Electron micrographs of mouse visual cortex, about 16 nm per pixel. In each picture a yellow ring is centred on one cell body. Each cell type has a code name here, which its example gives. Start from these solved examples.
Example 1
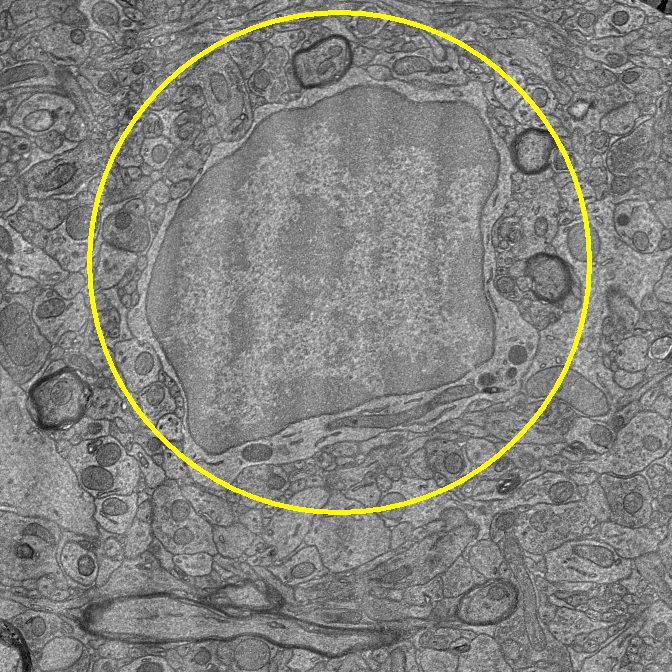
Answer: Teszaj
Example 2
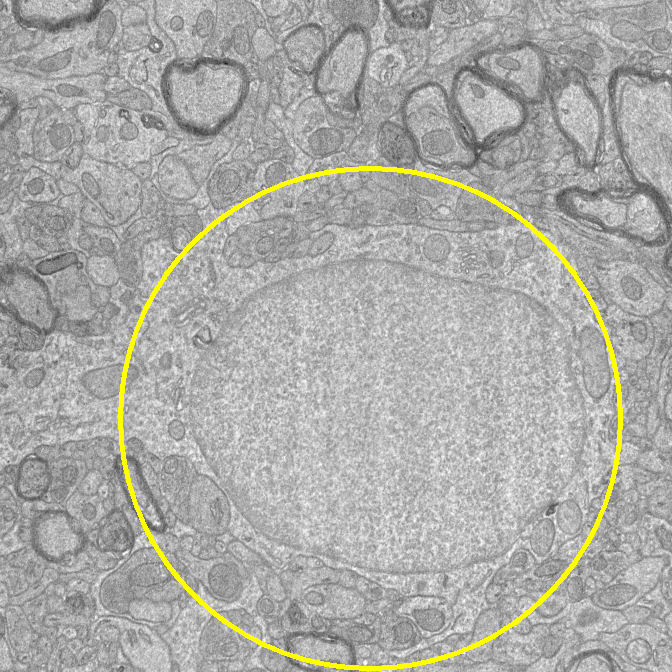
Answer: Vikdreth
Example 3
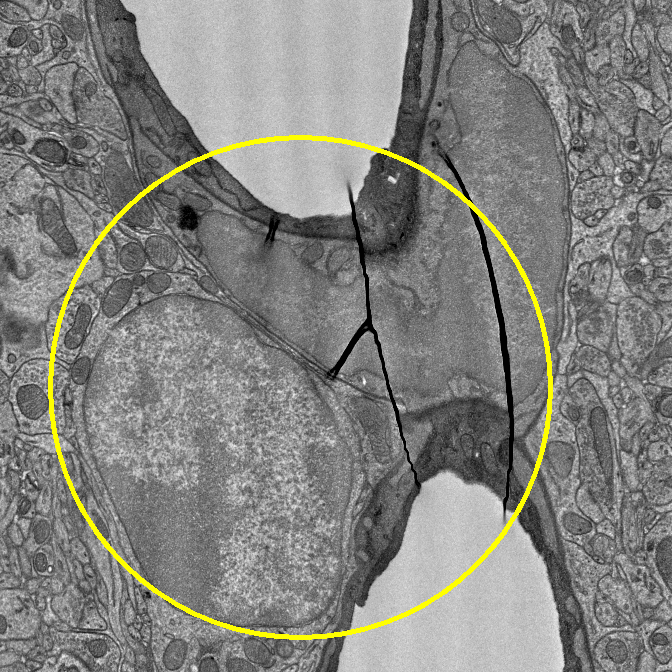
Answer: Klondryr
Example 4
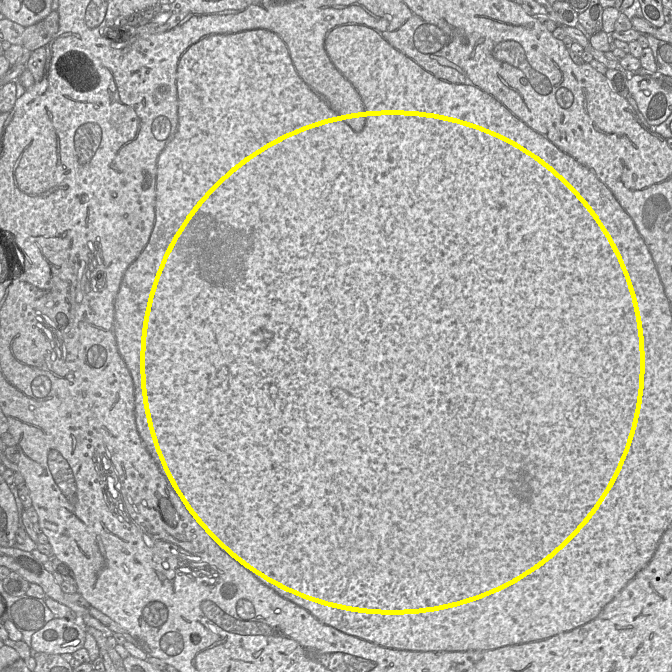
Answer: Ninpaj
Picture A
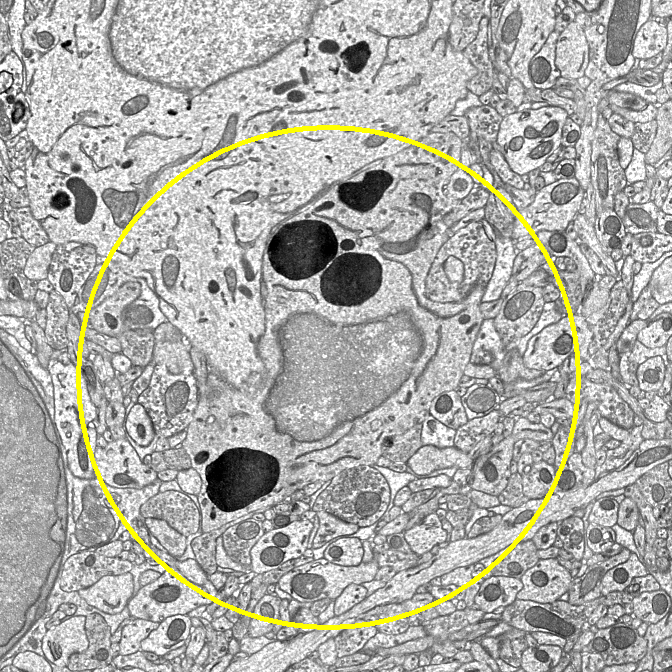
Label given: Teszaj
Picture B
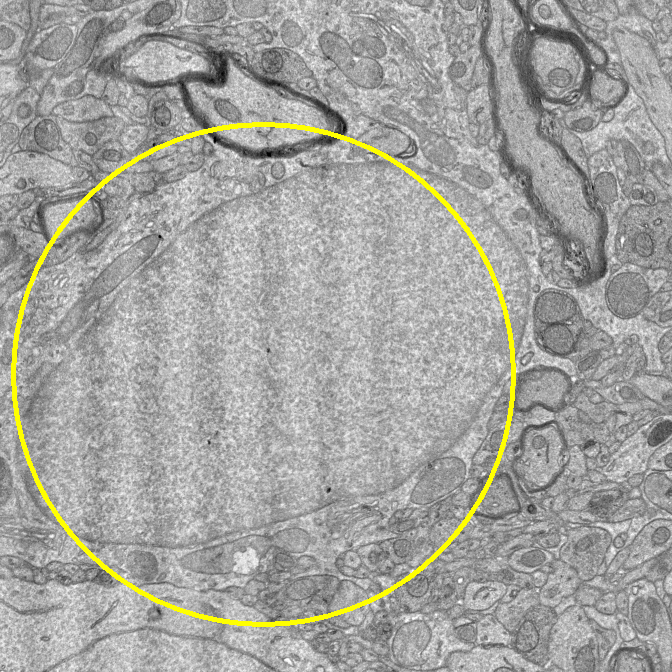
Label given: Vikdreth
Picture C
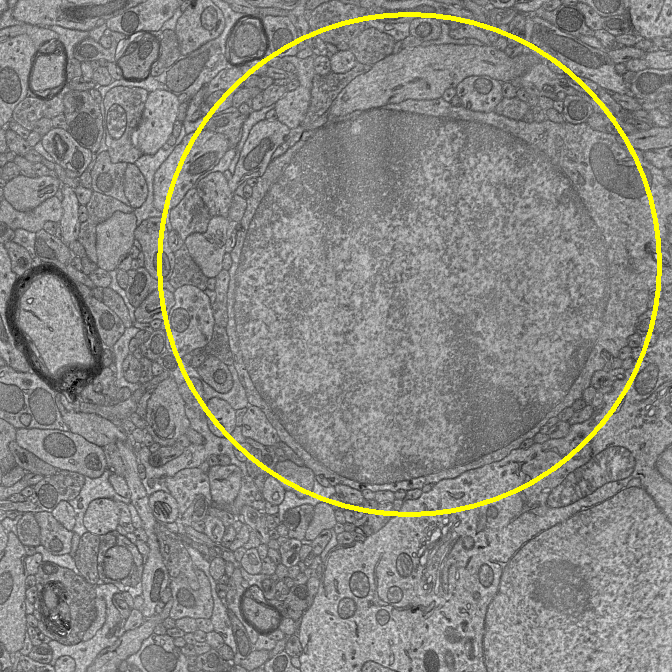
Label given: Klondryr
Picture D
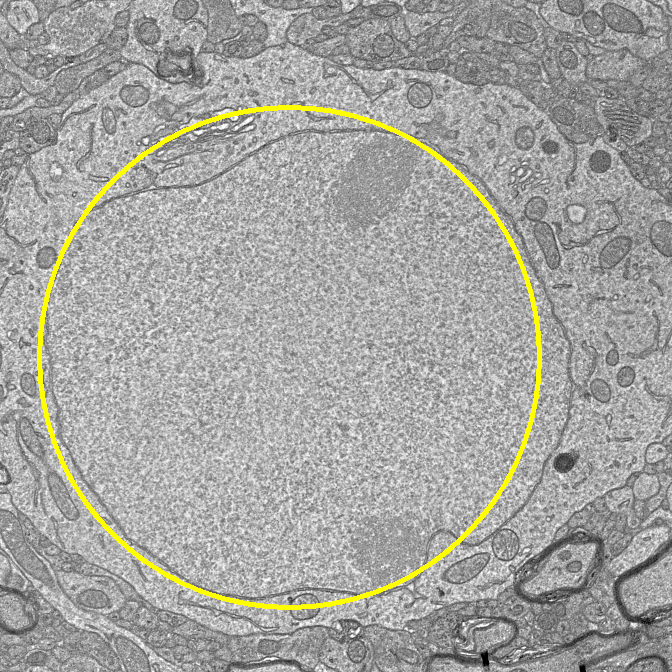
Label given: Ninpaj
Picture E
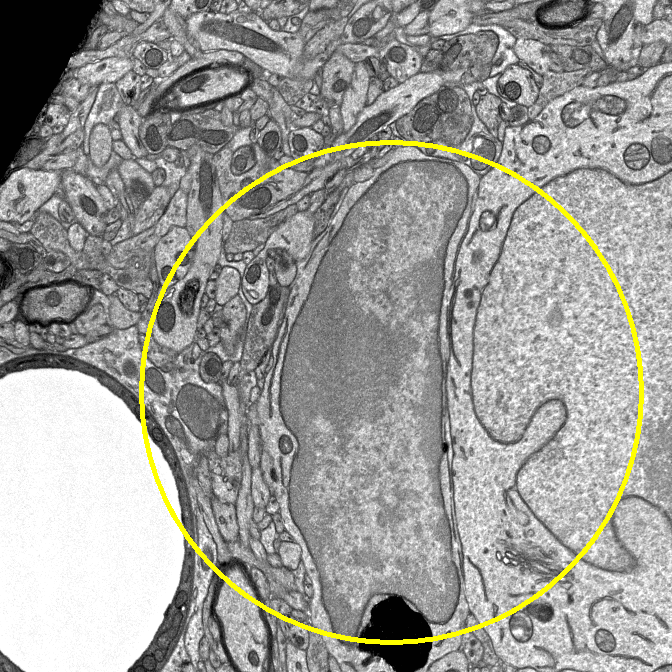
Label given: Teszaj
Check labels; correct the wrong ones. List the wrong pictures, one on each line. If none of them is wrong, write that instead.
All labels are correct.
